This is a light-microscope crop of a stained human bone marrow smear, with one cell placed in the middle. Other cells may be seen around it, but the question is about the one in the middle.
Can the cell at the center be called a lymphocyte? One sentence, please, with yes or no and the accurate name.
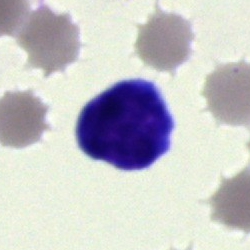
Yes, the cell in the central position is a lymphocyte.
